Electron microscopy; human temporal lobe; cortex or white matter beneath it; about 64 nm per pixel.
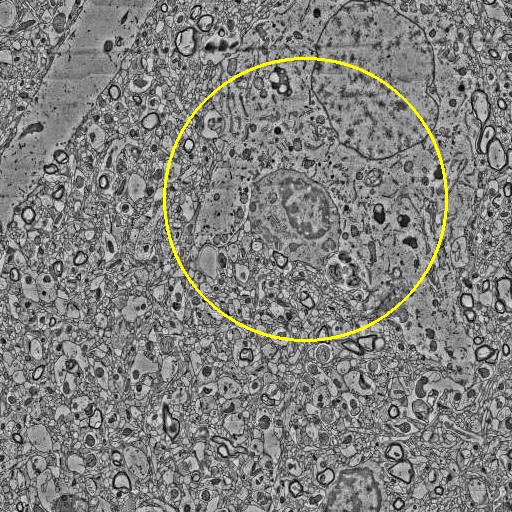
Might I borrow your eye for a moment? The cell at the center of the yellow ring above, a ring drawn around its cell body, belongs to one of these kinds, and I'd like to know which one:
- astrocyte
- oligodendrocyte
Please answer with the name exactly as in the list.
oligodendrocyte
